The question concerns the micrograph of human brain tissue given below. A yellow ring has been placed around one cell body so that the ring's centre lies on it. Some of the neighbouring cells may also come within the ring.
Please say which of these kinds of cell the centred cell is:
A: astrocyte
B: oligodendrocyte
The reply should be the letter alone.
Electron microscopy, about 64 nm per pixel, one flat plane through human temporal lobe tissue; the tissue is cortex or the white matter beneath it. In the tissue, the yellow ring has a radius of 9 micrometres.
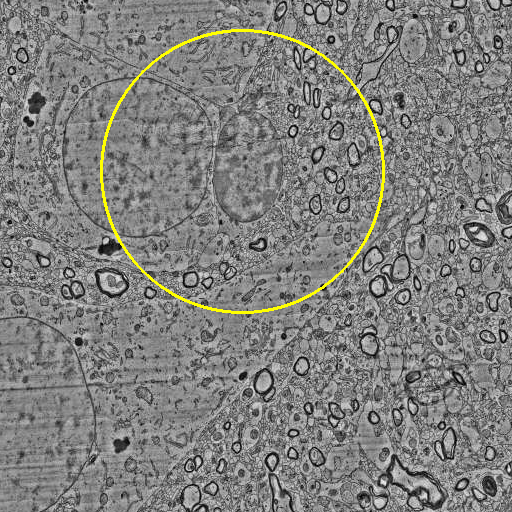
B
